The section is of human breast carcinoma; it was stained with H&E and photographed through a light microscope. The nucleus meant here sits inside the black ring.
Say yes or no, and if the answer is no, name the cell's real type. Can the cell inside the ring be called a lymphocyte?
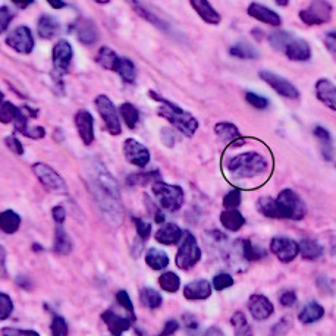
Yes.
